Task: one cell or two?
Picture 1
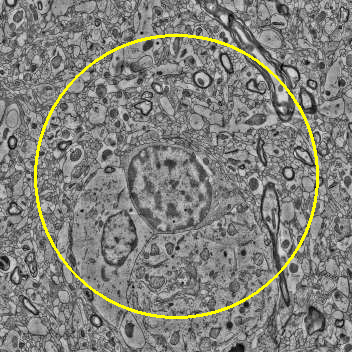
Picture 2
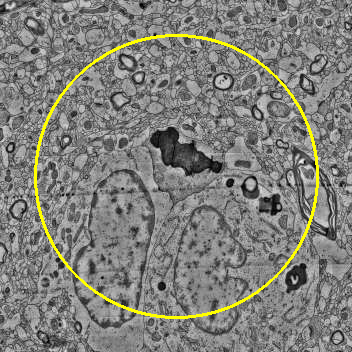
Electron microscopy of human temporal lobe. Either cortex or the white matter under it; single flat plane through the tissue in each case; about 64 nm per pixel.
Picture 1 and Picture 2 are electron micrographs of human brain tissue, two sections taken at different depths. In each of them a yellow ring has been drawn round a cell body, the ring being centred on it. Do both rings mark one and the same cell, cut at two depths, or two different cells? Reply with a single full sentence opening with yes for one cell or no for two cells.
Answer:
Yes, the same individual cell is enclosed by both rings.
